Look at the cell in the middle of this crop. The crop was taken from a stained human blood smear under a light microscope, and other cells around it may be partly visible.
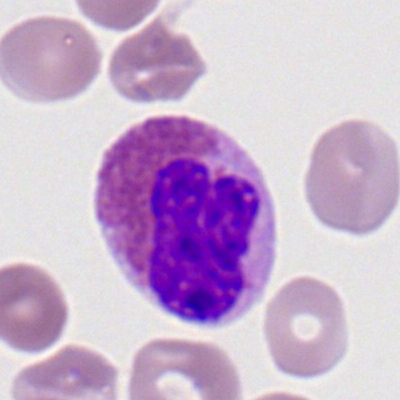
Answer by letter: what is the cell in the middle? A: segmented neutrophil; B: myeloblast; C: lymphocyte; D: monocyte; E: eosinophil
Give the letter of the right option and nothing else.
E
